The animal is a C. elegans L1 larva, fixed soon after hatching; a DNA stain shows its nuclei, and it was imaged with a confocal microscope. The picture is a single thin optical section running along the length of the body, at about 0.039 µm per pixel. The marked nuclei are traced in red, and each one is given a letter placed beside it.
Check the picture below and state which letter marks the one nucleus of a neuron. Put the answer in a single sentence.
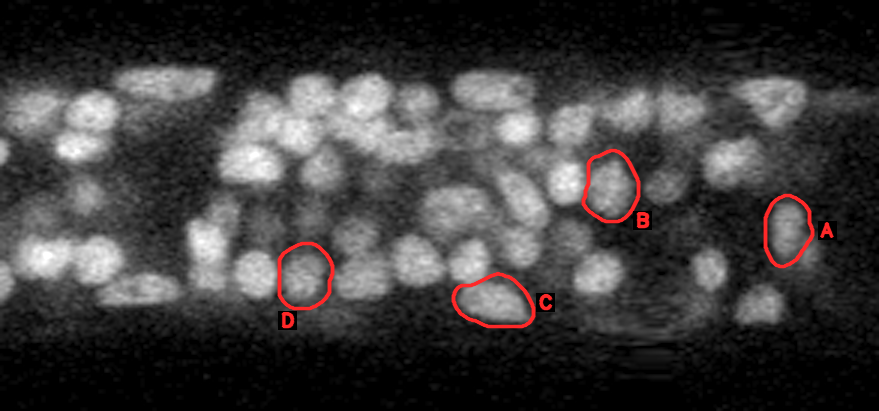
The nucleus of a neuron is D.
